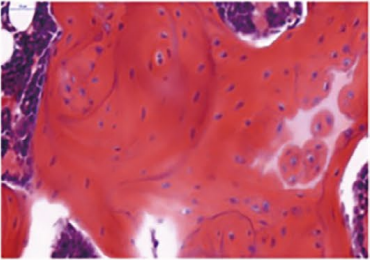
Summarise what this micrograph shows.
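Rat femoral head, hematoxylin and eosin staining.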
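Broad, continuous pink-red bone matrix fills most of the field, with faint lamellar lines. Scattered through the matrix are small osteocytes lying singly in lacunae, each with a dark purple, flattened to oval nucleus. At the left and top edges, marrow spaces are packed with purple-nucleated bone marrow cells. A small irregular space on the right contains a few rounded cells.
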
